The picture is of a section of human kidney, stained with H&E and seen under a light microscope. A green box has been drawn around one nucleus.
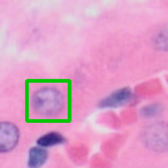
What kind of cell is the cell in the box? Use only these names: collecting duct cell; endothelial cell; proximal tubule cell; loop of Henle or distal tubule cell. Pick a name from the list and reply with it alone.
proximal tubule cell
